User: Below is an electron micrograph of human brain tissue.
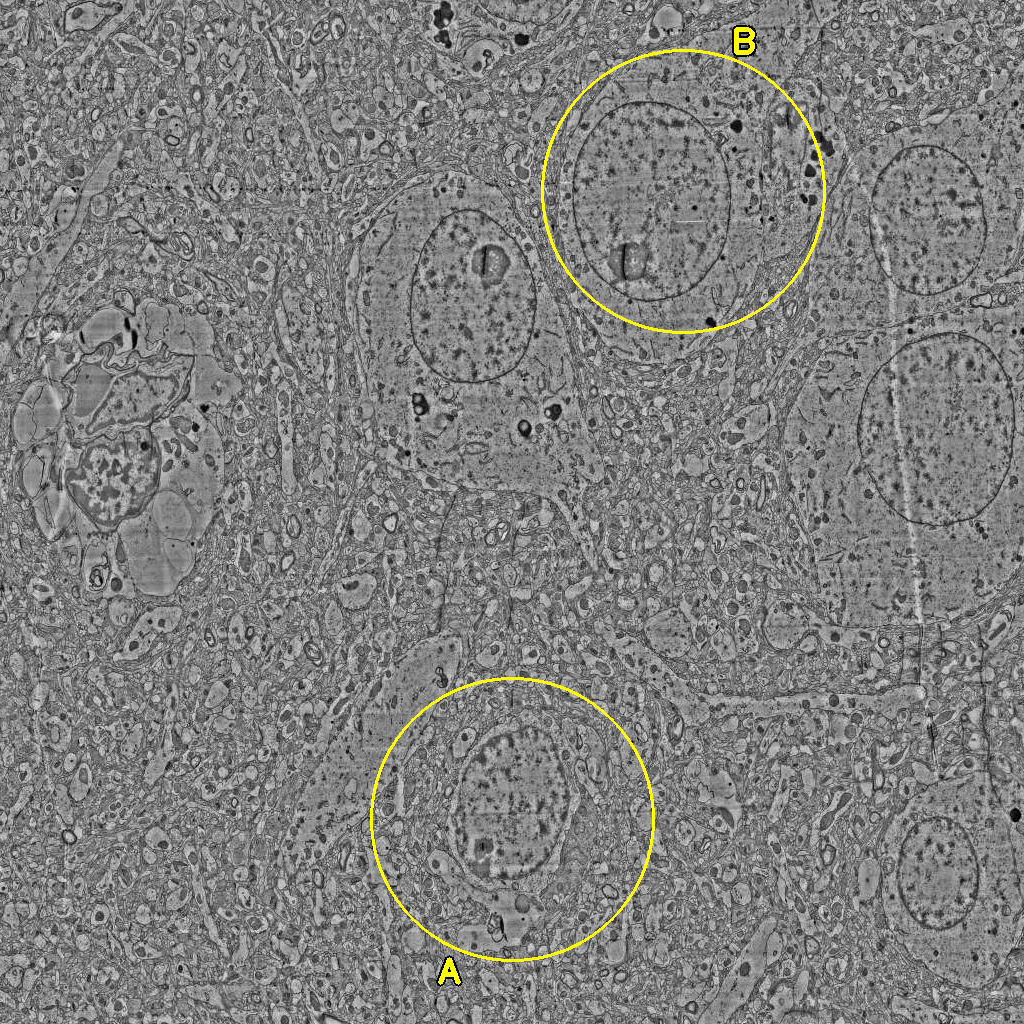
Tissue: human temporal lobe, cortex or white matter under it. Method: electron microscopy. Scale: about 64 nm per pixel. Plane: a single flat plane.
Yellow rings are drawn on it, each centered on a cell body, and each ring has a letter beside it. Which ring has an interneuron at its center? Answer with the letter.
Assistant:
A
